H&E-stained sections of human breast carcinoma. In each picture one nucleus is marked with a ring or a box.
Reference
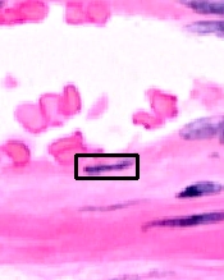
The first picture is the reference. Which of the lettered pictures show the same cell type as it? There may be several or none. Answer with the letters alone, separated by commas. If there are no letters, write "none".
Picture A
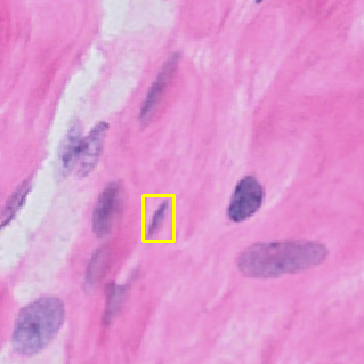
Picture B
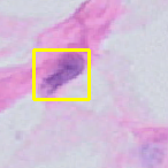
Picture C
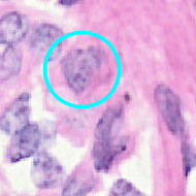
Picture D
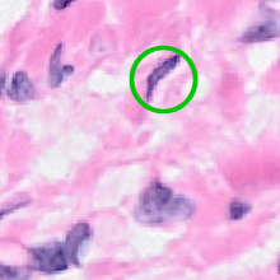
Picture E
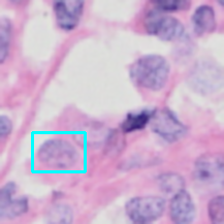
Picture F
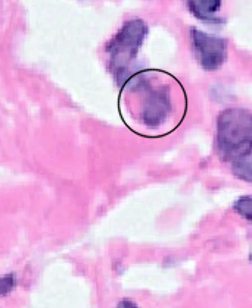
none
